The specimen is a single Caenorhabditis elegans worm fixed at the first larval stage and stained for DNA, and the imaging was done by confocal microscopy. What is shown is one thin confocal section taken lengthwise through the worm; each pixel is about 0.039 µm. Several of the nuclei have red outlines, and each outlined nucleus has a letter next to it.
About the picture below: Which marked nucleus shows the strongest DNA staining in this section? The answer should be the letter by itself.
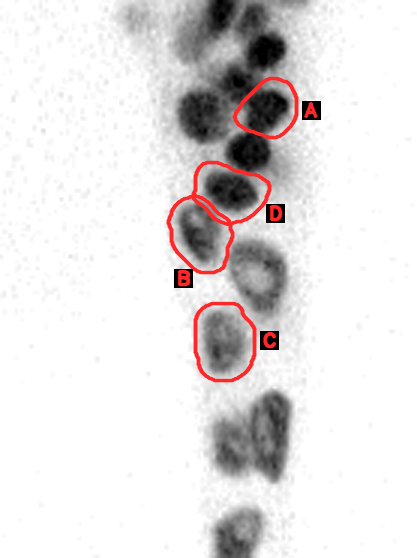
A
